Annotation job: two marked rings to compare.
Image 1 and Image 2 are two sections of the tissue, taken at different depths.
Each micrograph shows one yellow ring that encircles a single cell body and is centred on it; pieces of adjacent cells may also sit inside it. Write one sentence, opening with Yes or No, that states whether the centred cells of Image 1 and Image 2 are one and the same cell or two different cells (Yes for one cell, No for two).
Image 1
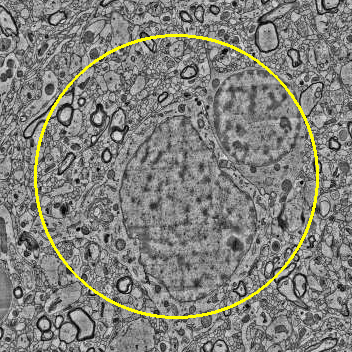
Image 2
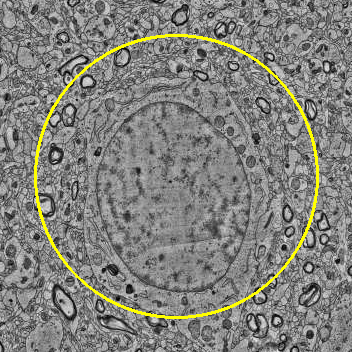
No, what the two rings mark is two different cells.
